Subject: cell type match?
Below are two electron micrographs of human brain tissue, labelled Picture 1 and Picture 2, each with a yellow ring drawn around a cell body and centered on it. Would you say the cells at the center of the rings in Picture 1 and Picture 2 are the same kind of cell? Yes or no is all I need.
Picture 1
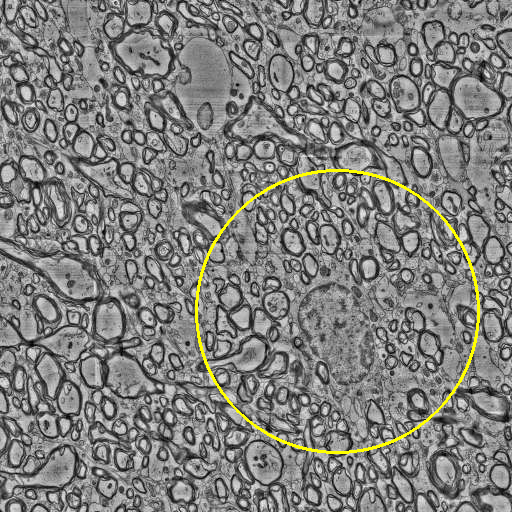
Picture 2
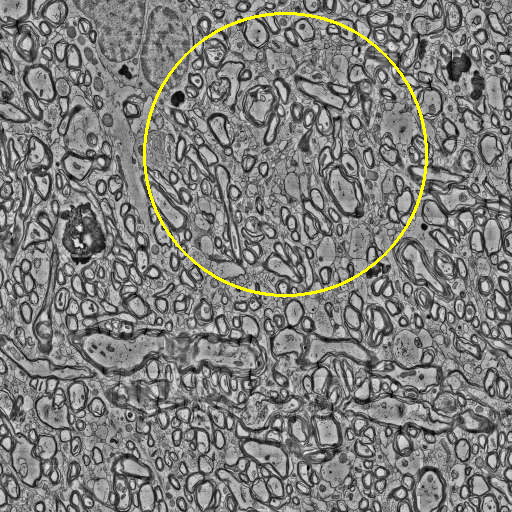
no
